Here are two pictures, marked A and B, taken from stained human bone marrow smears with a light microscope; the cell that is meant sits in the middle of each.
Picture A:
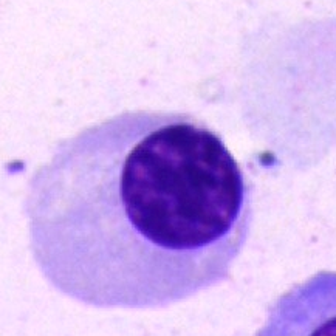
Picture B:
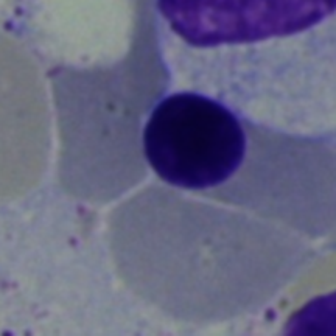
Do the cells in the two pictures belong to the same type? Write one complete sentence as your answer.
Yes; the cells in both pictures are erythroblasts.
